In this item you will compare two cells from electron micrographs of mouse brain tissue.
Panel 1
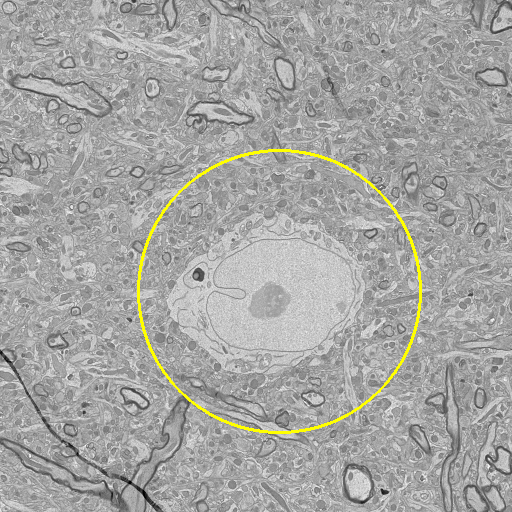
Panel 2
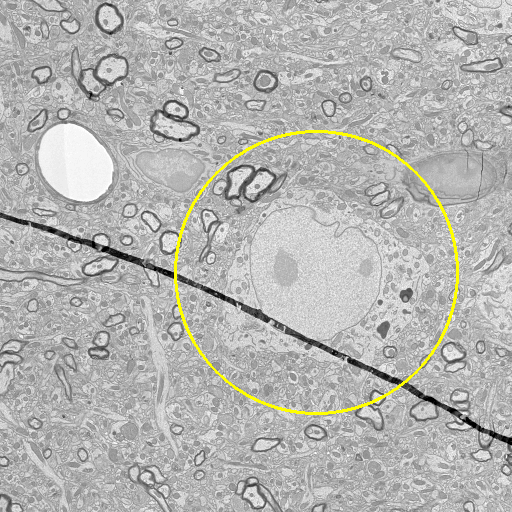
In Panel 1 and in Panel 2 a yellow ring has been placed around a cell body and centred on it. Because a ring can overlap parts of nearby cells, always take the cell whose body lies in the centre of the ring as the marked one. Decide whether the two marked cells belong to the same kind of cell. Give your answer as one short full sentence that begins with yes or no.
Yes, the two marked cells belong to the same kind of cell.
